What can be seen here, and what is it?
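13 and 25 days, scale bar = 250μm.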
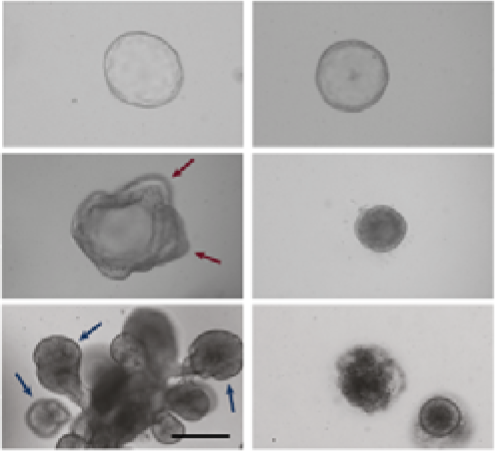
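In the top row both organoids are thin-walled, smooth round cysts with a clear lumen. In the middle row the left organoid has become larger with a thickened, folded wall bulging outward at its edges, while the right one is a small, compact, darker sphere. In the bottom row the left image shows a large dark mass from which several rounded lobes bud outward, giving a branched outline.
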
